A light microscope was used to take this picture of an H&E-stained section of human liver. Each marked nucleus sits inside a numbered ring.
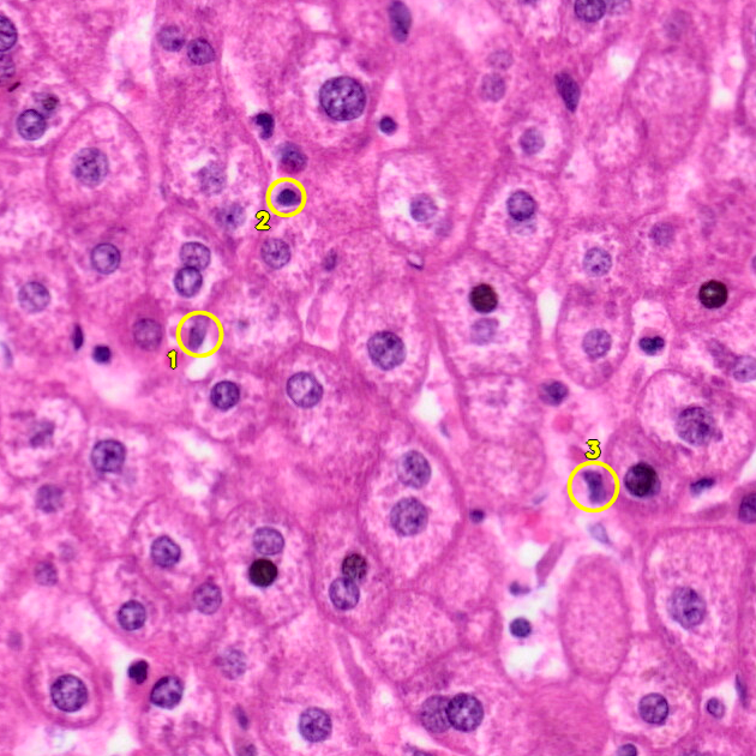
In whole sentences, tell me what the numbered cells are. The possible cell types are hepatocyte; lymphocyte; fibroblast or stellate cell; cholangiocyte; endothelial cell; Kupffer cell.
Cell 1 is a Kupffer cell. Cell 2 is a lymphocyte. Cell 3 is an endothelial cell.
